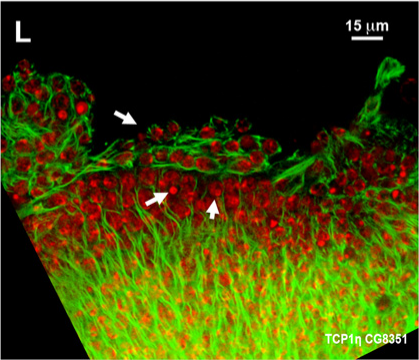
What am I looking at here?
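Crowded cells with red nuclei form the lower part, and a broad dark gap stays open above. Along the upper margin a loose flap of cells lies over the edge, and there the green fibres run sideways, parallel to the margin, not toward the gap. Scattered among the nuclei are small, very compact, bright red round bodies, unlike the larger evenly stained nuclei beside them.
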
